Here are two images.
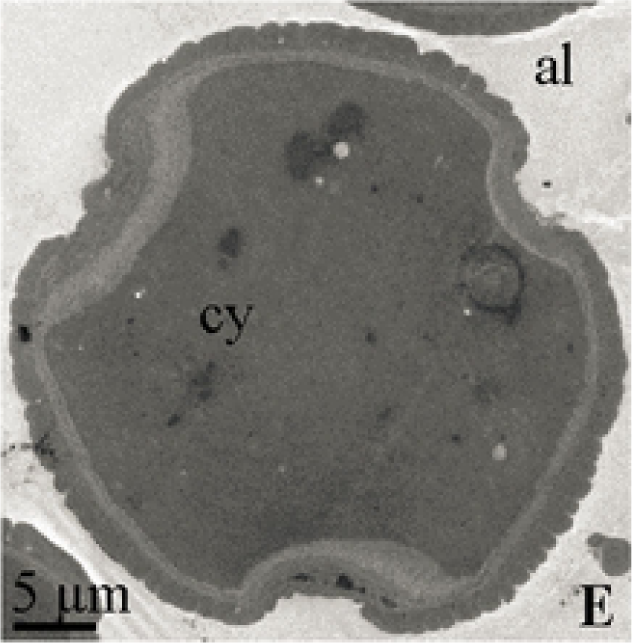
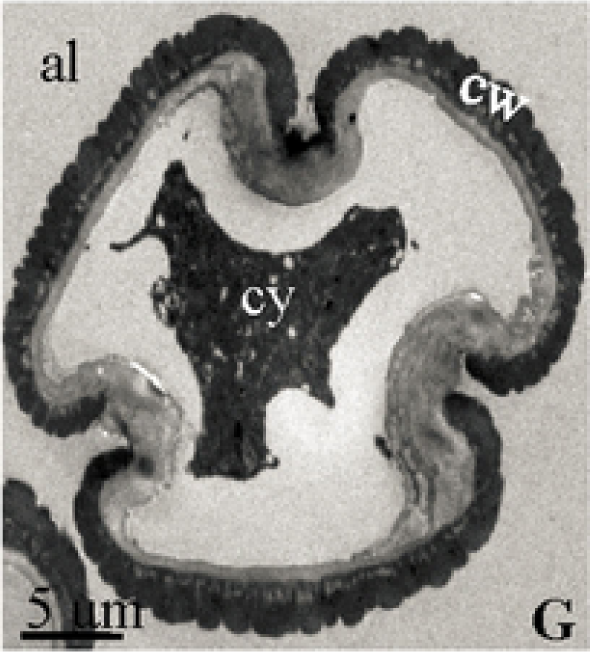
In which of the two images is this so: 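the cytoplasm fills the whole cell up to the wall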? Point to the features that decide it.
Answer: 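The first image. Second image: the cytoplasm is a small central mass with empty space around it. First image: dense cytoplasm fills the cell right up to the wall.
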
